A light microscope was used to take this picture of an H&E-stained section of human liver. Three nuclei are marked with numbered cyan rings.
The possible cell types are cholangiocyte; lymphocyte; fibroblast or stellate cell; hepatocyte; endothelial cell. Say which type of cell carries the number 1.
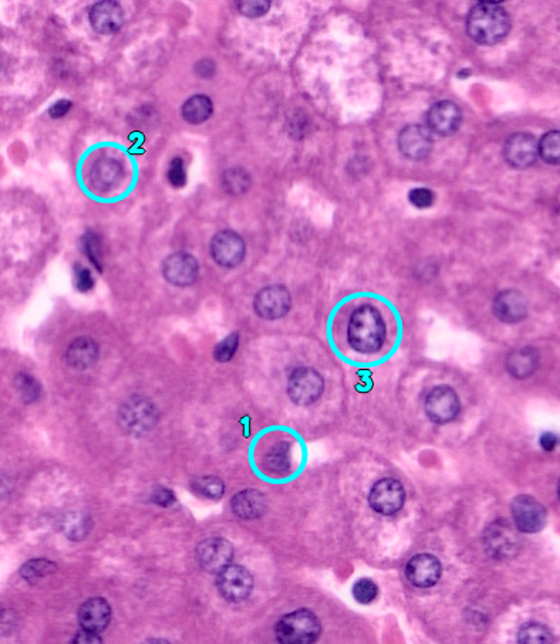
endothelial cell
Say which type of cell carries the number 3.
hepatocyte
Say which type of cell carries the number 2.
hepatocyte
